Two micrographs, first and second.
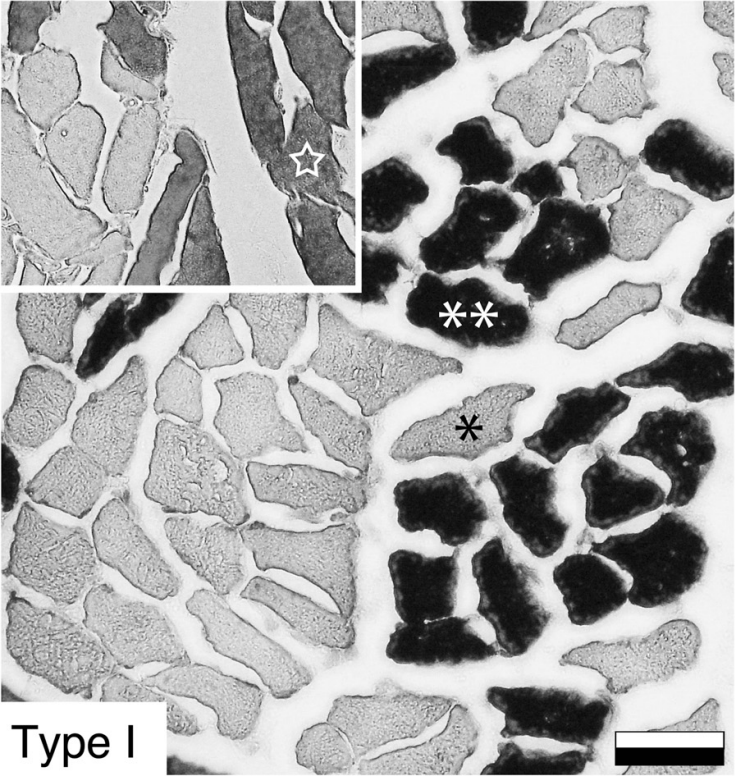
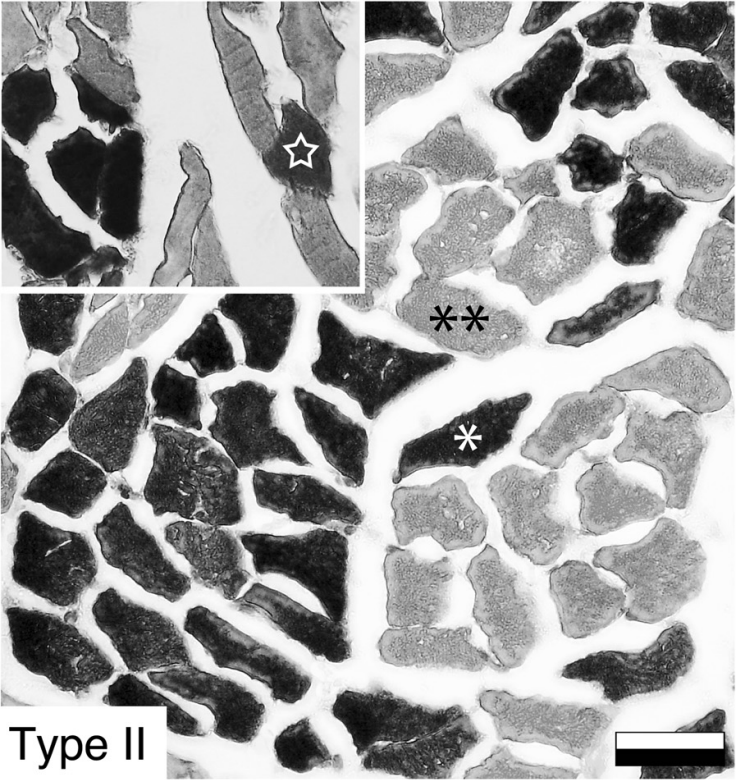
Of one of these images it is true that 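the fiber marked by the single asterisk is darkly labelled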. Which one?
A: The second image.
